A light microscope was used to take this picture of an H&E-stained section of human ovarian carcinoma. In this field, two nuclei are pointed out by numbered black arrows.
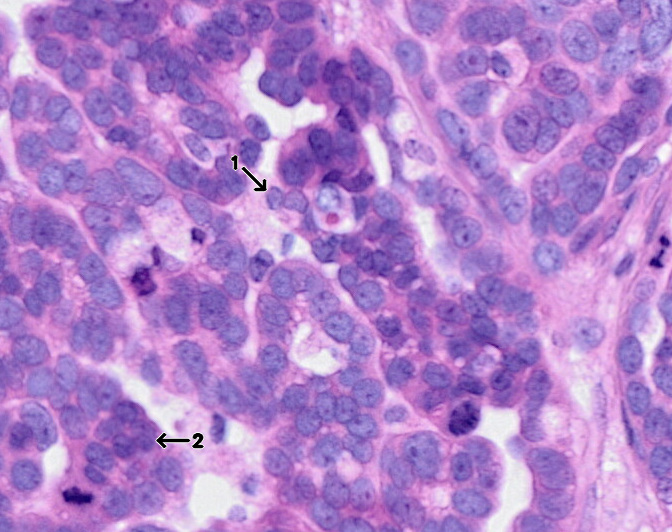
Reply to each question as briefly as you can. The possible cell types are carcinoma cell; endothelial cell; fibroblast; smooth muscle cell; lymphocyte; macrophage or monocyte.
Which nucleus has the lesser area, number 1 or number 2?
1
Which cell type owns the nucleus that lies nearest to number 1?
carcinoma cell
